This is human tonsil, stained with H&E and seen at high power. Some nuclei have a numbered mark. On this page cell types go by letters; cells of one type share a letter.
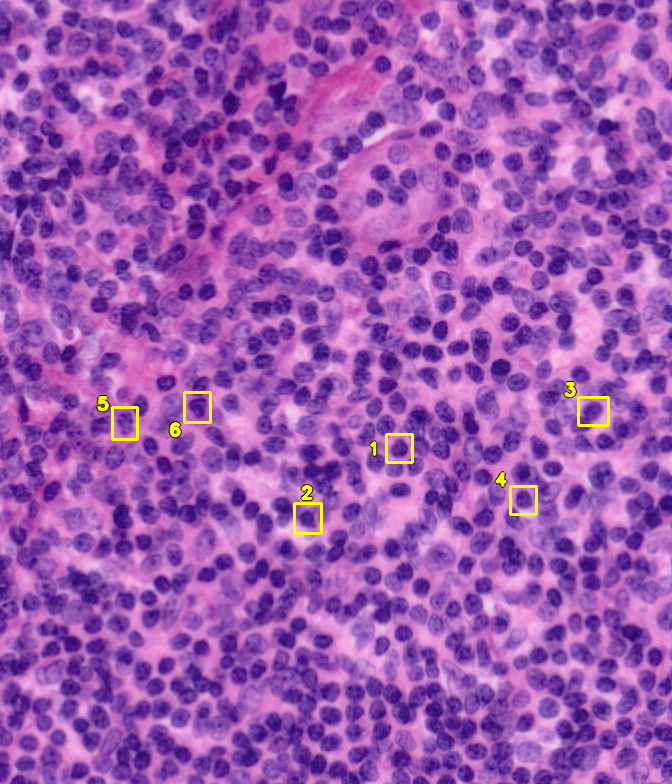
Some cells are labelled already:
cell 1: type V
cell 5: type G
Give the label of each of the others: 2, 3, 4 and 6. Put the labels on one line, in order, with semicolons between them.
type V; type V; type V; type G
